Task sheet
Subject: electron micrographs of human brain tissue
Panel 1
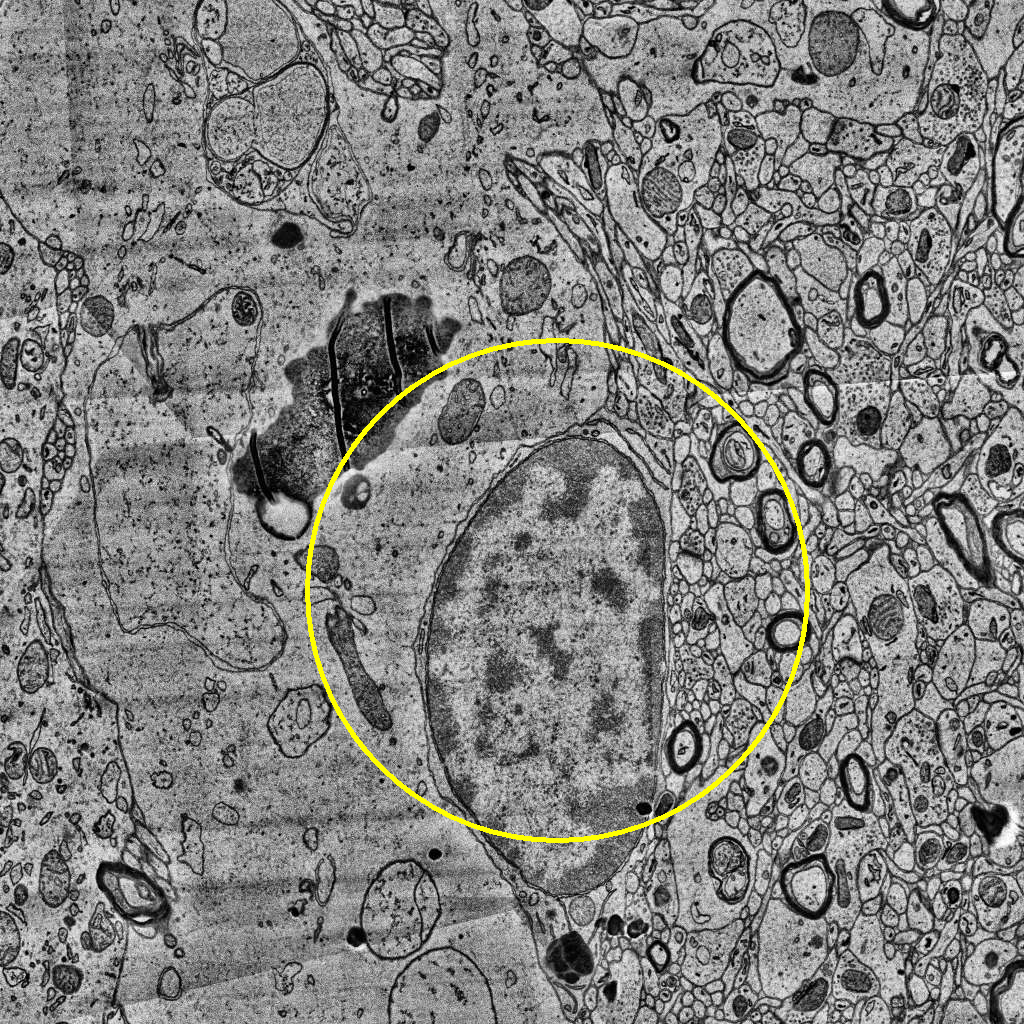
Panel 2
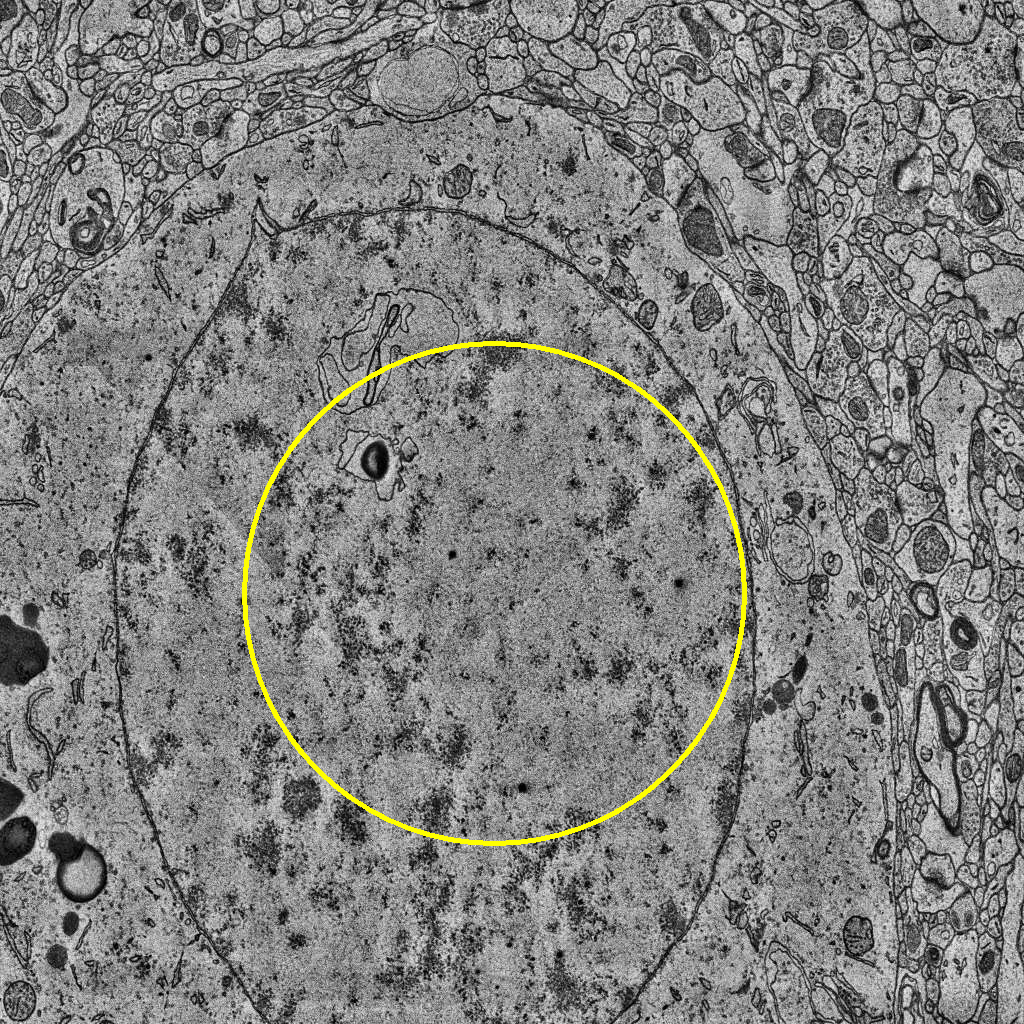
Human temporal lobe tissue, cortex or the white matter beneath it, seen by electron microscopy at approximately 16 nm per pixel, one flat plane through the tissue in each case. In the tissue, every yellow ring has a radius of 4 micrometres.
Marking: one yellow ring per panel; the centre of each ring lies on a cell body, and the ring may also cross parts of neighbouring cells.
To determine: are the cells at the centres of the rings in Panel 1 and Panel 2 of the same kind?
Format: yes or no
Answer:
no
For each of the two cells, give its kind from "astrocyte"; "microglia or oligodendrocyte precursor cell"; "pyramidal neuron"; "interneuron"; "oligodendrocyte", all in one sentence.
The second cell is a pyramidal neuron, while the first is a microglial cell or oligodendrocyte precursor cell.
